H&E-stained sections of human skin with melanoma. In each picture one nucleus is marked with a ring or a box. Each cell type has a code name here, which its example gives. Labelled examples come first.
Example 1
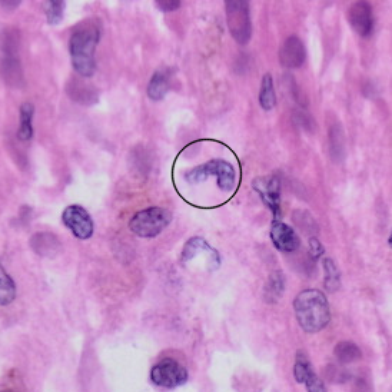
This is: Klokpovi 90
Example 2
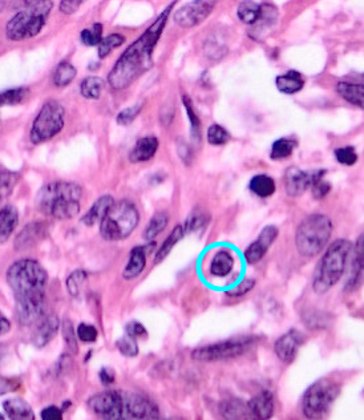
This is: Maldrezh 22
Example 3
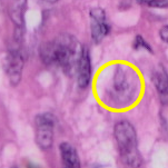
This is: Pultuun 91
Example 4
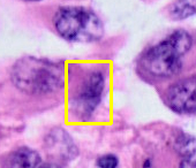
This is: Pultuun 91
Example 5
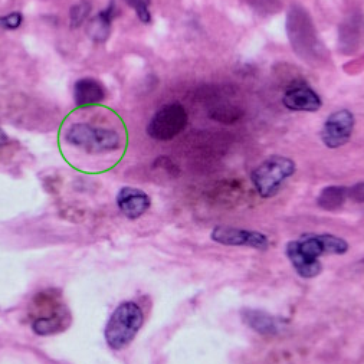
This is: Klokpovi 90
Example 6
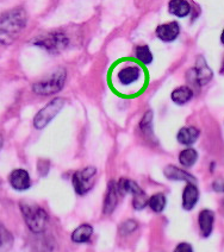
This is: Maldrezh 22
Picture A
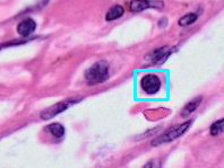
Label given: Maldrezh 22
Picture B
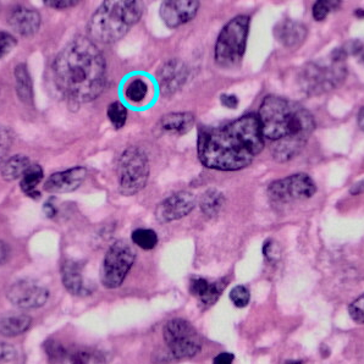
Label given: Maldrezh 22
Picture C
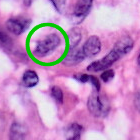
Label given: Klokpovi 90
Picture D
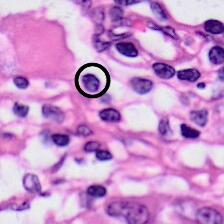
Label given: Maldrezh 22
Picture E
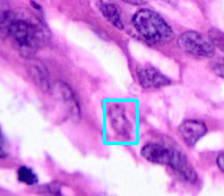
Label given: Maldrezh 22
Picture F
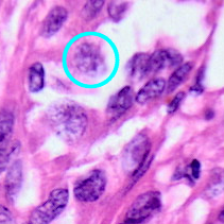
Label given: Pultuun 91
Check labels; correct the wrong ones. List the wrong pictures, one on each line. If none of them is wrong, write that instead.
C is labelled Klokpovi 90; correct label: Pultuun 91
E is labelled Maldrezh 22; correct label: Pultuun 91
